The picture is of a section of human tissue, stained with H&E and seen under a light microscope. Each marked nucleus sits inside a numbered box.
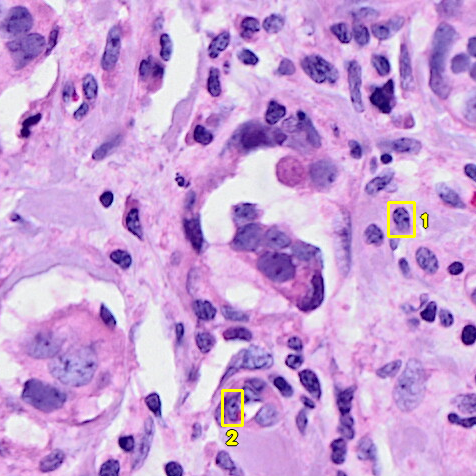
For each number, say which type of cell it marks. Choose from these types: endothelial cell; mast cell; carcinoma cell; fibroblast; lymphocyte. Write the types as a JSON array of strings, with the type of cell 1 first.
["mast cell", "endothelial cell"]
